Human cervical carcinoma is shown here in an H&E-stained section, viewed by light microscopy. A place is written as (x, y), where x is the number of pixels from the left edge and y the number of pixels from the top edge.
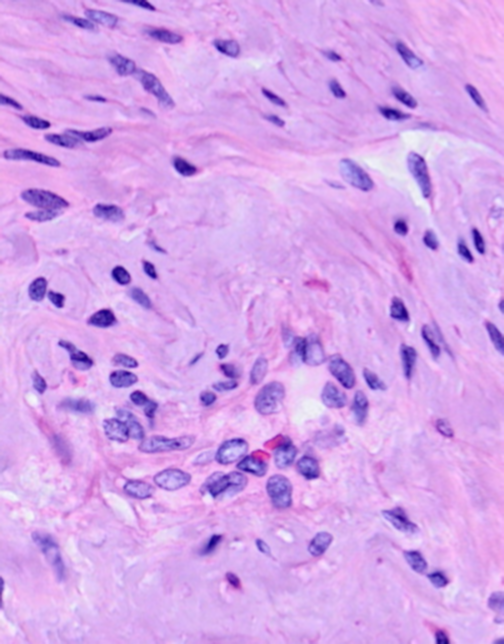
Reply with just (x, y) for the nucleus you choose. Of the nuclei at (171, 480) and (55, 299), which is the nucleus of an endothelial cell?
(171, 480)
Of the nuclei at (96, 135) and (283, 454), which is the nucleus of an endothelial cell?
(283, 454)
